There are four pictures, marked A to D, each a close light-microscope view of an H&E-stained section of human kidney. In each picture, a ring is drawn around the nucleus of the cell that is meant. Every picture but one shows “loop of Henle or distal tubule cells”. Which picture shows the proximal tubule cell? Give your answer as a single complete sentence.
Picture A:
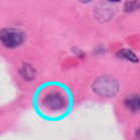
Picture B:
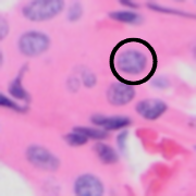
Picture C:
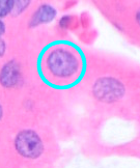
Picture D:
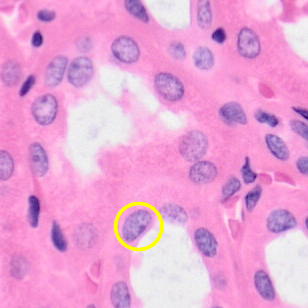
It is picture C that shows the proximal tubule cell.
